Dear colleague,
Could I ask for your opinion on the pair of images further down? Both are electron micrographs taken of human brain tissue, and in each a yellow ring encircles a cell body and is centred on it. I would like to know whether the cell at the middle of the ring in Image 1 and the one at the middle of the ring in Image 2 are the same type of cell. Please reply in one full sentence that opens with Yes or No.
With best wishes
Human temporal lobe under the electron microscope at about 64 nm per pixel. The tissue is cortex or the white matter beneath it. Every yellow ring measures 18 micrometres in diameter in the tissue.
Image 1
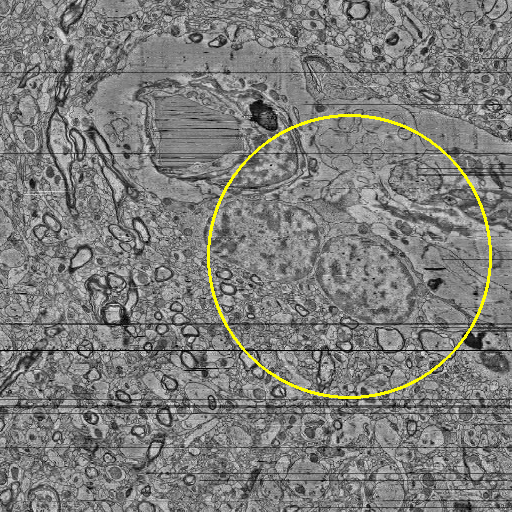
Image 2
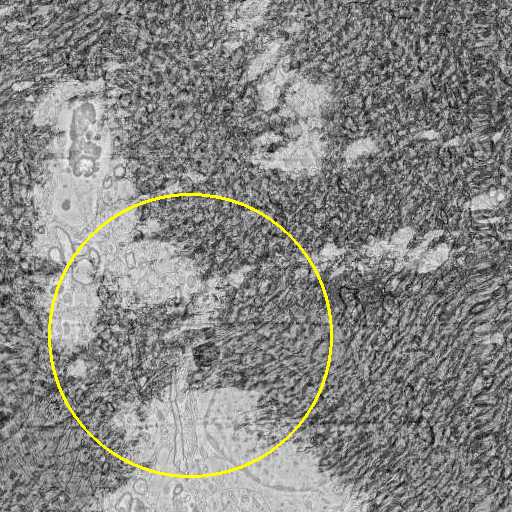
Yes, the cells at the ring centres in Image 1 and Image 2 are of one type.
